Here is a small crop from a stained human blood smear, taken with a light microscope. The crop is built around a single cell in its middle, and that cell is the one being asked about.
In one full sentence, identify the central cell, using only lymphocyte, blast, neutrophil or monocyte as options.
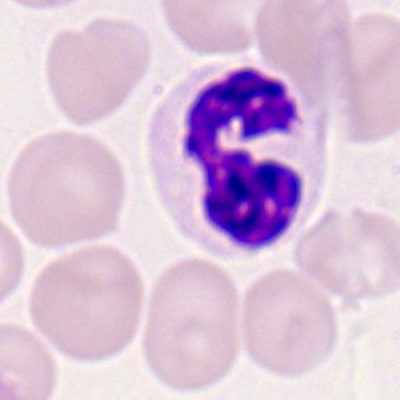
Where the crop is centred, there is a neutrophil.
